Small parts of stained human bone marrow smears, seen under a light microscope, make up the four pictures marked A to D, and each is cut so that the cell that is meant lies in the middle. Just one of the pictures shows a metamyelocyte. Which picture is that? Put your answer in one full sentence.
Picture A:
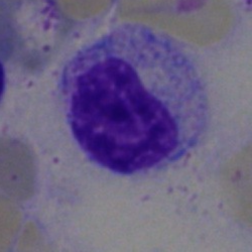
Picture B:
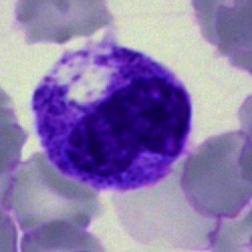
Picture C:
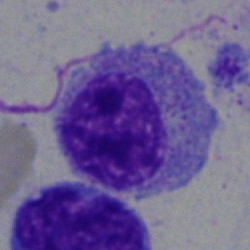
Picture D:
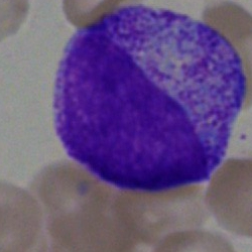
The cell in picture B is the metamyelocyte.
